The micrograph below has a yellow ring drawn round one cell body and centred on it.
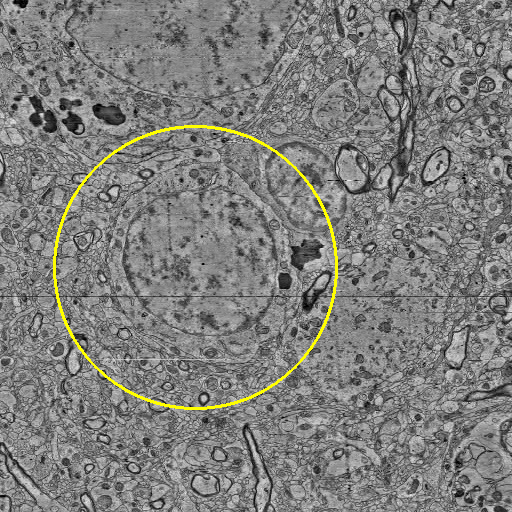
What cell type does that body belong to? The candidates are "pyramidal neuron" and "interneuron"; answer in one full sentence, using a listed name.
This is an interneuron, the cell whose body lies at the centre of the ring.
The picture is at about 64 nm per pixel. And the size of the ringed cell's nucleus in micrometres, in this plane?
In this plane the ringed cell's nucleus is roughly 10 micrometres across.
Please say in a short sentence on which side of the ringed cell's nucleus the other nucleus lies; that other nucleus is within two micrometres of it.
That other nucleus sits to the upper right of it.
